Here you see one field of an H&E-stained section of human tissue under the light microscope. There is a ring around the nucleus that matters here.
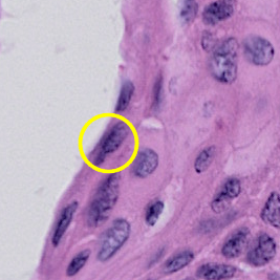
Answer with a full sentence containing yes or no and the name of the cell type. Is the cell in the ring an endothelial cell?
No, the cell in the ring is simply a squamous carcinoma cell rather than an endothelial cell.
